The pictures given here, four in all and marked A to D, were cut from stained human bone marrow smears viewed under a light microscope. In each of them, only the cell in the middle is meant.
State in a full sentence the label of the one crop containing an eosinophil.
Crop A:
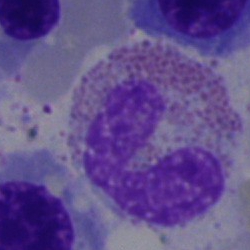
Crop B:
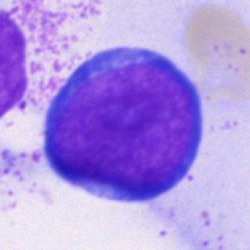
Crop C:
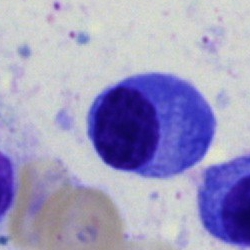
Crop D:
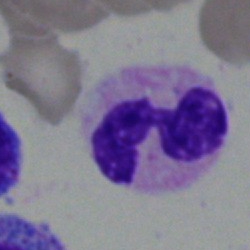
Of these crops, it is crop A that shows an eosinophil.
